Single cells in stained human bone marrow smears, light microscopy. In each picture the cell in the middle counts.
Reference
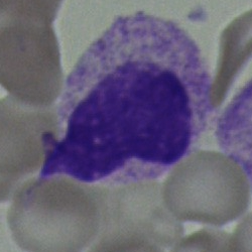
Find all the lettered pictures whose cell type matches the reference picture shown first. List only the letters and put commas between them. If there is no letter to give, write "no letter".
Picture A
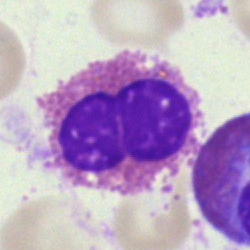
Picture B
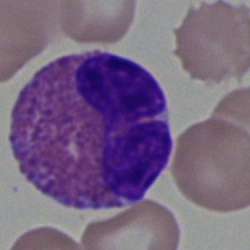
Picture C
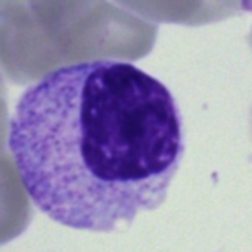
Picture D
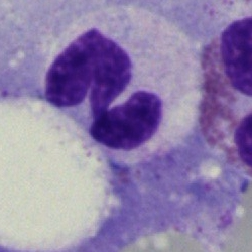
C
